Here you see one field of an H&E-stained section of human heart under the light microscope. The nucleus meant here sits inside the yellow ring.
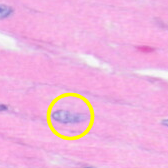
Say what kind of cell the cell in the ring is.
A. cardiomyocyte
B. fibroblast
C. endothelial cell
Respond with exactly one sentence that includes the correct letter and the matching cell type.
Option A is the one to take: the cell in the ring is a cardiomyocyte.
